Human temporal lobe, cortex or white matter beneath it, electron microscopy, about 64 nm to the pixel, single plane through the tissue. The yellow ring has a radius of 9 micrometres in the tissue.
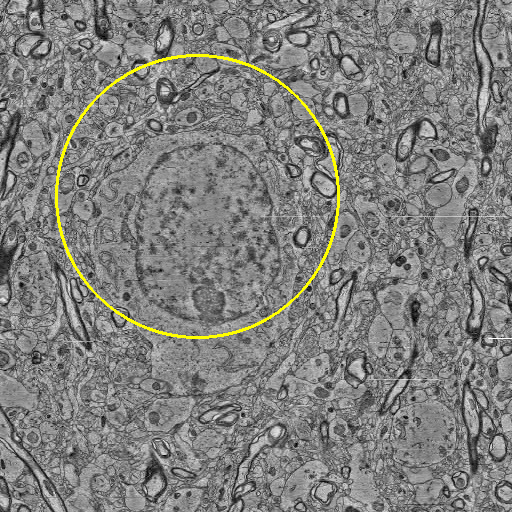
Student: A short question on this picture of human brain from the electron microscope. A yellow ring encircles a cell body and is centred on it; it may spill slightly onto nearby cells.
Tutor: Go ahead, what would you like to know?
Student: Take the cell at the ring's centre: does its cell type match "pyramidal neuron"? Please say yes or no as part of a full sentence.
No, the cell found at the ring's centre in the picture has another cell type.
